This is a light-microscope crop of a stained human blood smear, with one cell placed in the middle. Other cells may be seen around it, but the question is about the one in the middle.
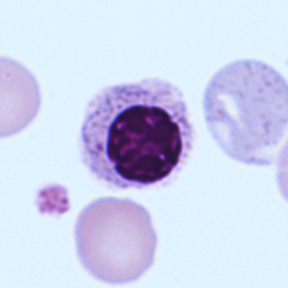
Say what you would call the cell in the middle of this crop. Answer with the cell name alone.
normoblast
